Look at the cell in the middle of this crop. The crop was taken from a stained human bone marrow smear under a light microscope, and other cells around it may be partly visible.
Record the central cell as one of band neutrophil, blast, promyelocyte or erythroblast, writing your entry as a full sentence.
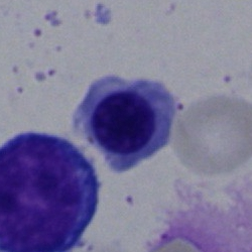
The cell positioned in the middle of the field is an erythroblast.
